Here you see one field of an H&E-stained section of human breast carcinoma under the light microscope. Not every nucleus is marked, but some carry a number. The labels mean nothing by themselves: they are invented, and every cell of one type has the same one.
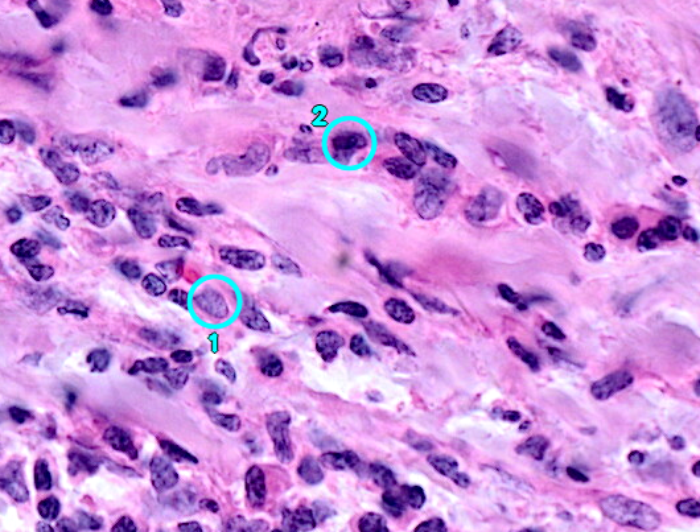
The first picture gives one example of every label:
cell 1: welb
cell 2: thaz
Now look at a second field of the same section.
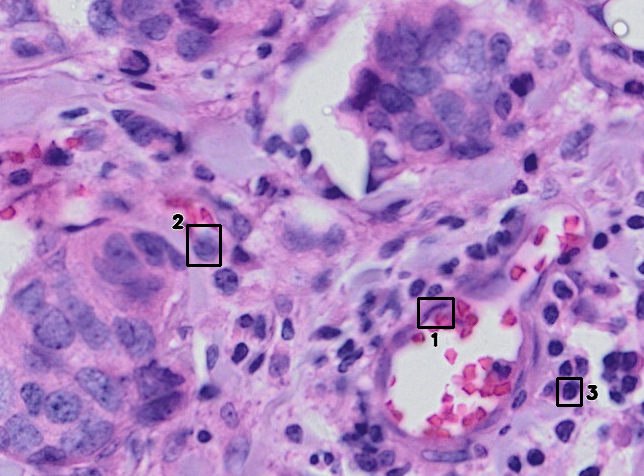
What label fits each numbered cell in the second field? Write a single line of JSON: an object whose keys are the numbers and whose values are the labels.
{"1": "welb", "2": "welb", "3": "thaz"}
